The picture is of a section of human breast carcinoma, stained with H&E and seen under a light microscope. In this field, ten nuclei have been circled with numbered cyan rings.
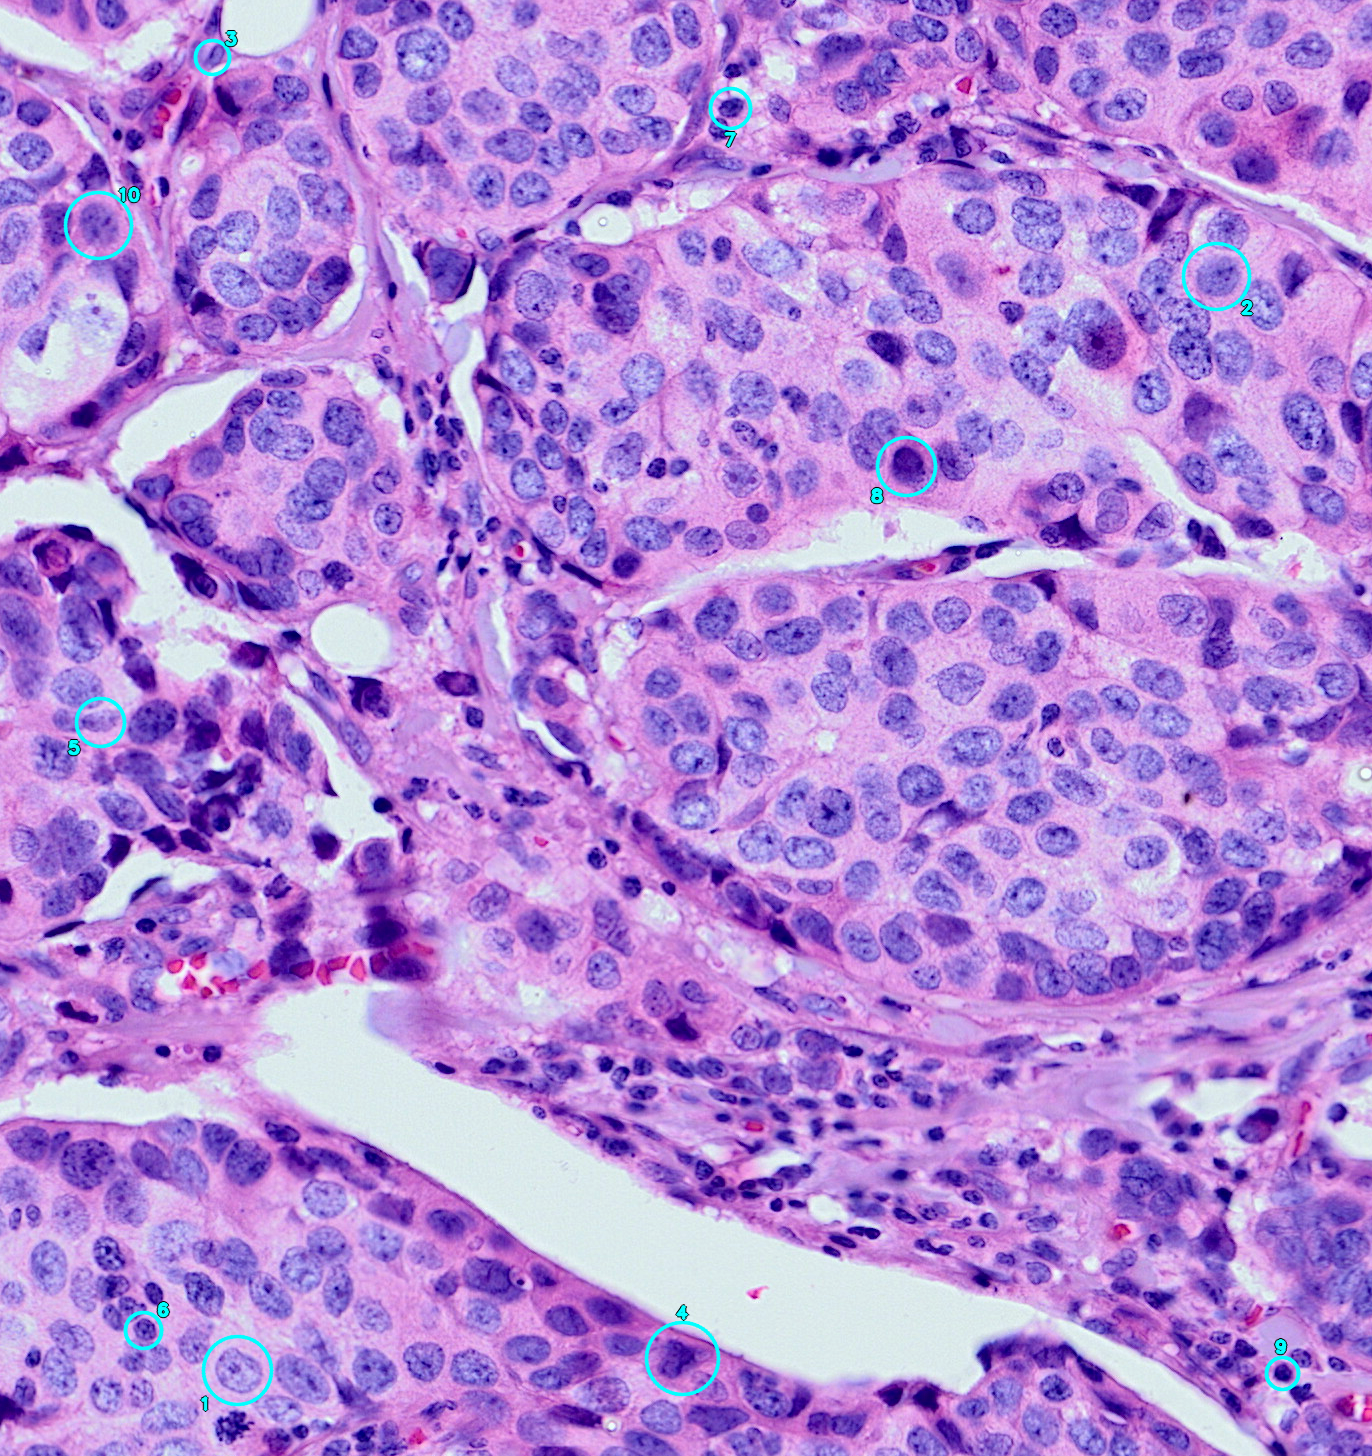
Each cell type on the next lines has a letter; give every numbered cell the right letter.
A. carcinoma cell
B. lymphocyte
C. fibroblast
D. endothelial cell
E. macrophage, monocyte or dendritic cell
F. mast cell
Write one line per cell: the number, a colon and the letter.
1: A
2: A
3: D
4: A
5: A
6: B
7: B
8: A
9: B
10: A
